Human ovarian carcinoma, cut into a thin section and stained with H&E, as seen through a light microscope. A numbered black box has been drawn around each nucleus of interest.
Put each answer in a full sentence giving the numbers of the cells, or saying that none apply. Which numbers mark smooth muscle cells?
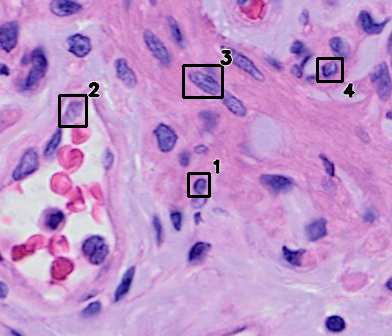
The cells numbered 1, 3 and 4 are identified as smooth muscle cells.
